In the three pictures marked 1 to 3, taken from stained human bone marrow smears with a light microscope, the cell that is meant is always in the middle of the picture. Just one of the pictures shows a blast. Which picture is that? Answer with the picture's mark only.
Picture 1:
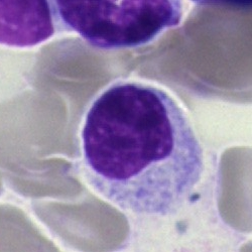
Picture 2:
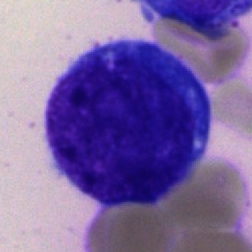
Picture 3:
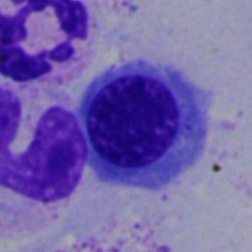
2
